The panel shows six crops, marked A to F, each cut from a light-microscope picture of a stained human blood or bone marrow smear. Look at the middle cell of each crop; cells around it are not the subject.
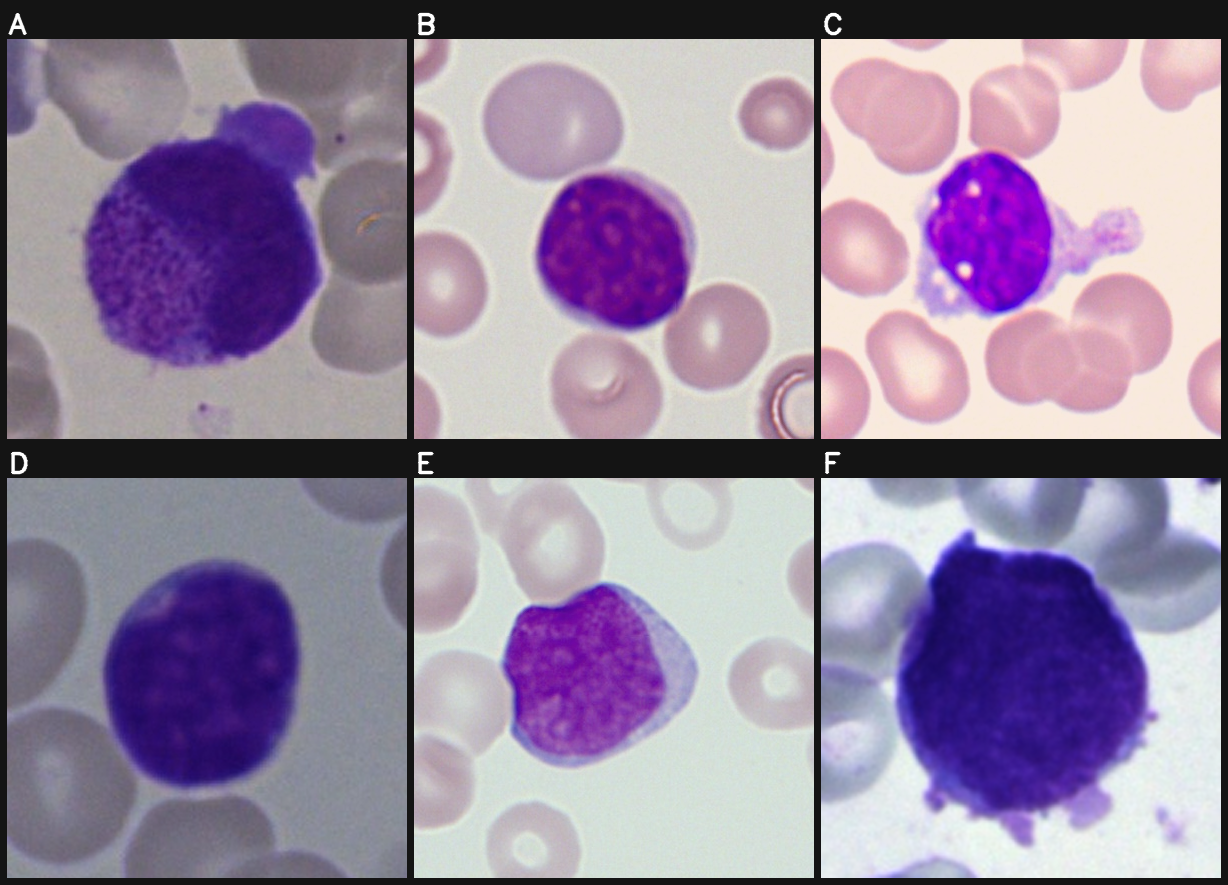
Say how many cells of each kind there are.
blast: 4
lymphocyte: 2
